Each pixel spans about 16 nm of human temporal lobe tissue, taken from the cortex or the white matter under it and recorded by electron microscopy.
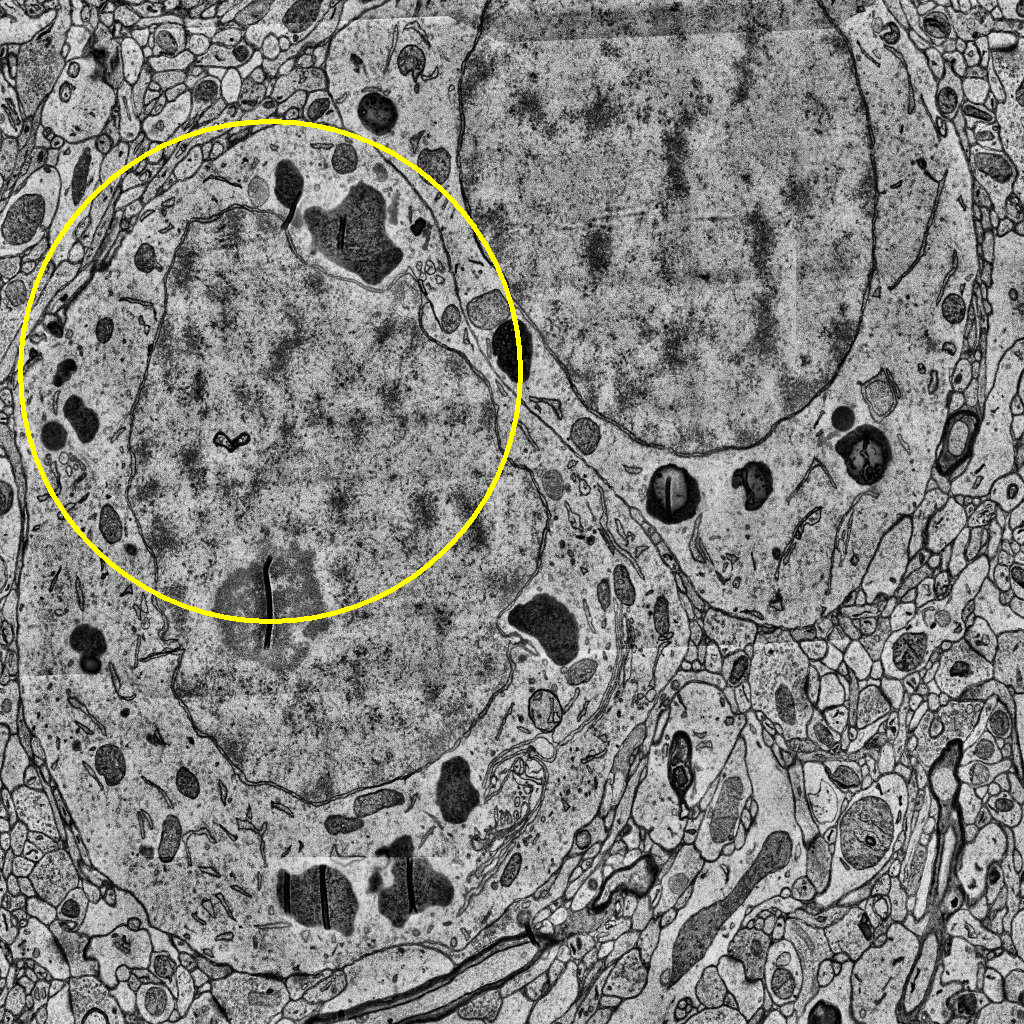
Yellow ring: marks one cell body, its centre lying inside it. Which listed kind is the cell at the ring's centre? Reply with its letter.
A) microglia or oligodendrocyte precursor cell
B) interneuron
B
